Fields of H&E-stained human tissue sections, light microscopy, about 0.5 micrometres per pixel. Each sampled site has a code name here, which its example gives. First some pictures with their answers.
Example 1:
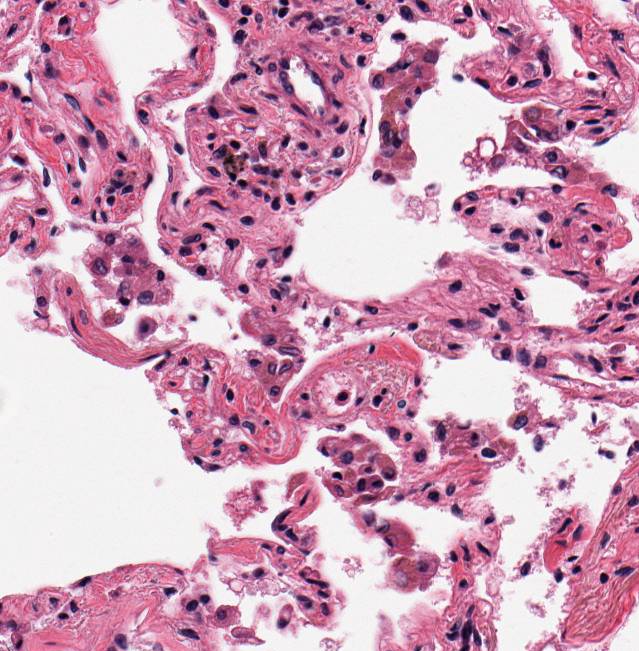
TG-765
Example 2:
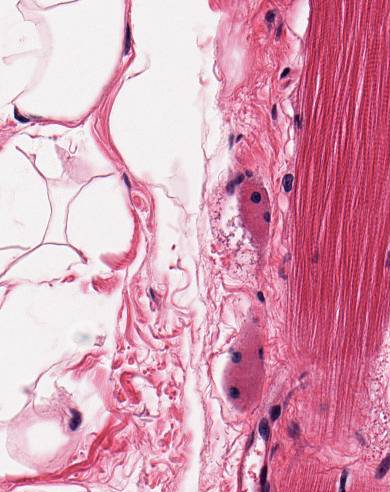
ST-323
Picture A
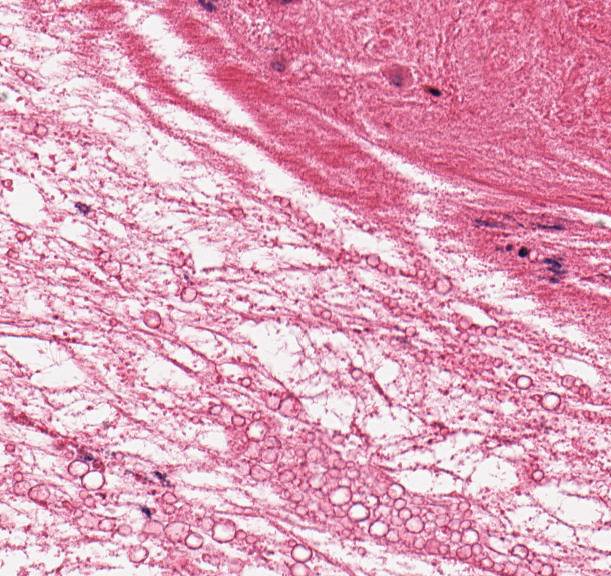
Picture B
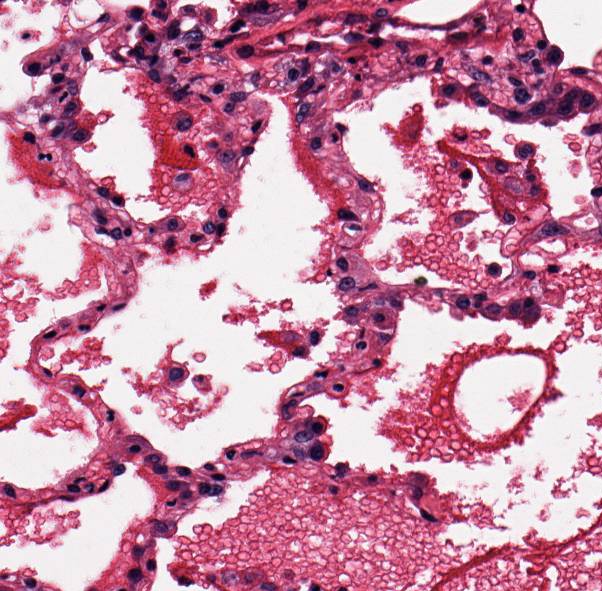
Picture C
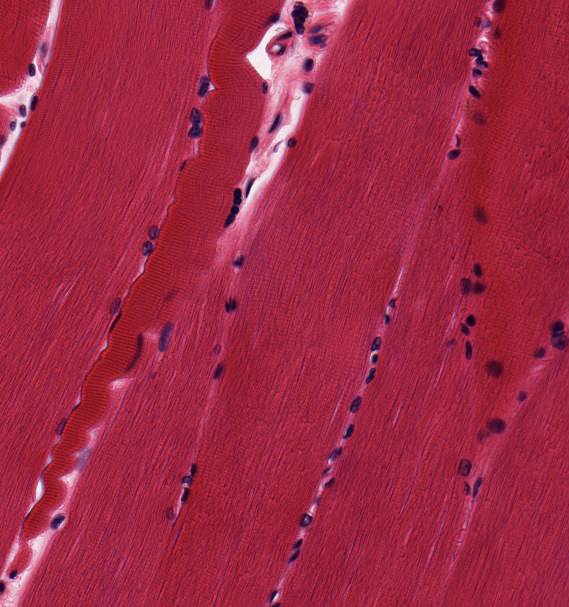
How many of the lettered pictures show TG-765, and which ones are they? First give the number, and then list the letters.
2, namely A, B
